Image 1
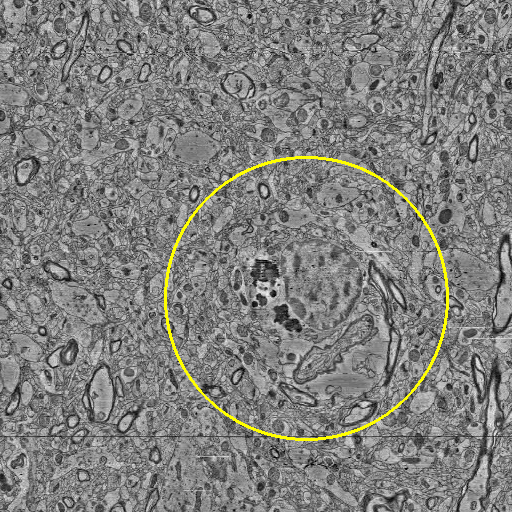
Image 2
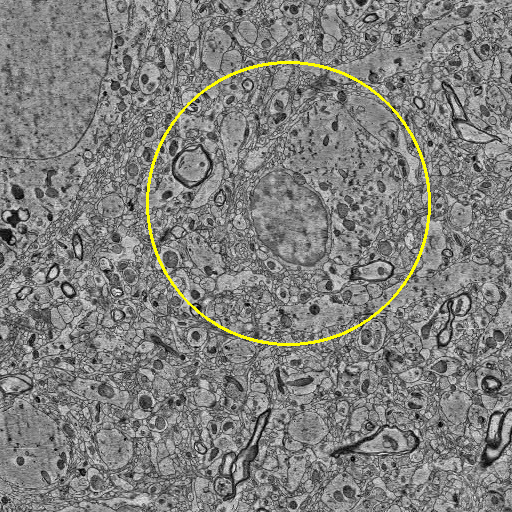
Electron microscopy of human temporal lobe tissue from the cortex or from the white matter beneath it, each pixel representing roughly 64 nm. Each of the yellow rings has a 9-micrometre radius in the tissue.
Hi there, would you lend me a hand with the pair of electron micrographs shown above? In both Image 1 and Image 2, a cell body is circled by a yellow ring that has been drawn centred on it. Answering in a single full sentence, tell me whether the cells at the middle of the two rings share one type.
Yes, the ringed cells in Image 1 and Image 2 share one type.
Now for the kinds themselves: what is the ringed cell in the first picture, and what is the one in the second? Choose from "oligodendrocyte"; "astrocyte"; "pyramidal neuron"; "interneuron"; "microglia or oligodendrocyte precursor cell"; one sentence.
The first and the second cell are each an oligodendrocyte.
